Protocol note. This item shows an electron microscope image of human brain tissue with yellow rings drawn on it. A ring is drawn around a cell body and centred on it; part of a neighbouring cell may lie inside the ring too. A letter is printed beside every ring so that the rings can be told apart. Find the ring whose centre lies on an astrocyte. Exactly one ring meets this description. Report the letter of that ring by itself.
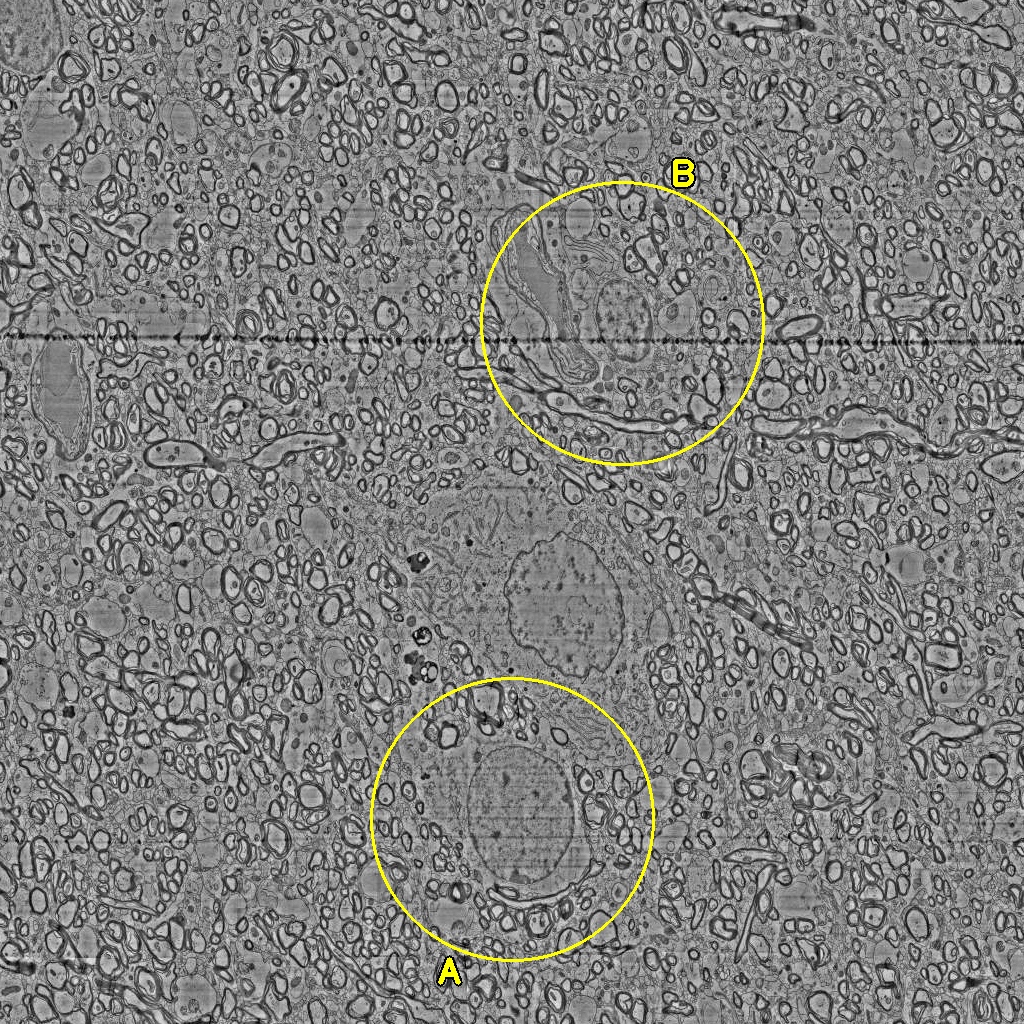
A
